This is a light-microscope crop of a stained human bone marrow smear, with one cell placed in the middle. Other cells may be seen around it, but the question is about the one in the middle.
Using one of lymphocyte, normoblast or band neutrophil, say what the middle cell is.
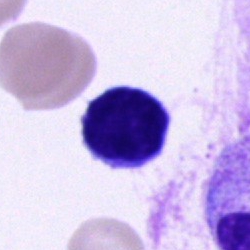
lymphocyte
